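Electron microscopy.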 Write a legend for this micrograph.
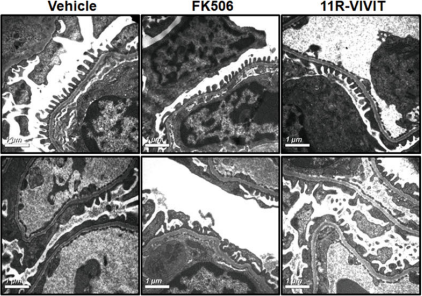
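Transmission electron micrographs of the glomerular capillary wall show a dark basement membrane with podocyte foot processes resting on its outer side and capillary lumens and nuclei nearby. In the upper row the foot processes are narrow and regularly spaced along the membrane. In the lower row, most clearly in the leftmost image, the foot processes are broader and flattened along longer stretches of the membrane.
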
